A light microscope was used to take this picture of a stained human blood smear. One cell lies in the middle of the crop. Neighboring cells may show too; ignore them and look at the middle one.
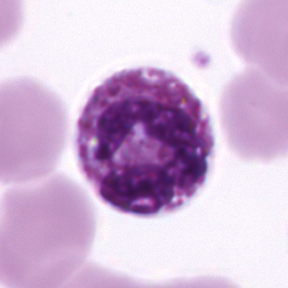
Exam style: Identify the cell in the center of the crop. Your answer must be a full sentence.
Seen at the centre of the crop is an eosinophil.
